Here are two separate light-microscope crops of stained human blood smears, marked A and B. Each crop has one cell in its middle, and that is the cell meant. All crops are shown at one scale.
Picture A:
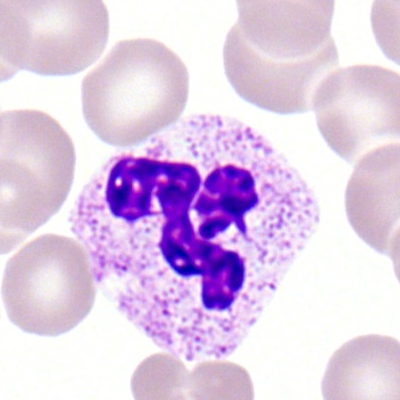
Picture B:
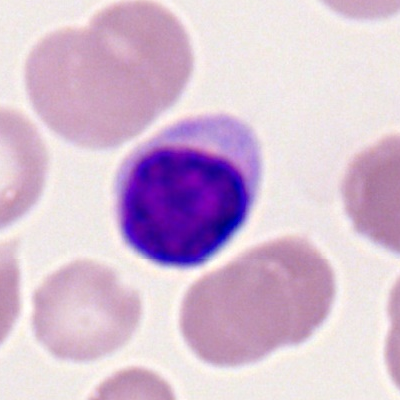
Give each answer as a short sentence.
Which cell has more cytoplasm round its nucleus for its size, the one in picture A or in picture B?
The nucleus fills less of the cell in picture A than in picture B.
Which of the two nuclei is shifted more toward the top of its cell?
The nucleus in picture A lies further toward the top of its cell.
